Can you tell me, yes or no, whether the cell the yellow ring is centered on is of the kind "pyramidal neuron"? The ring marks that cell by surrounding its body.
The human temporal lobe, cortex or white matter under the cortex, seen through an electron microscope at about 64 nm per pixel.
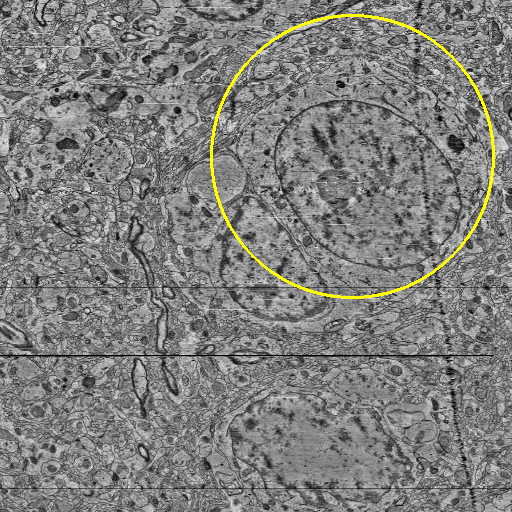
yes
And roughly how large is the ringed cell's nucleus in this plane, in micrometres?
Roughly 13 micrometres by 10 micrometres, in this plane.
